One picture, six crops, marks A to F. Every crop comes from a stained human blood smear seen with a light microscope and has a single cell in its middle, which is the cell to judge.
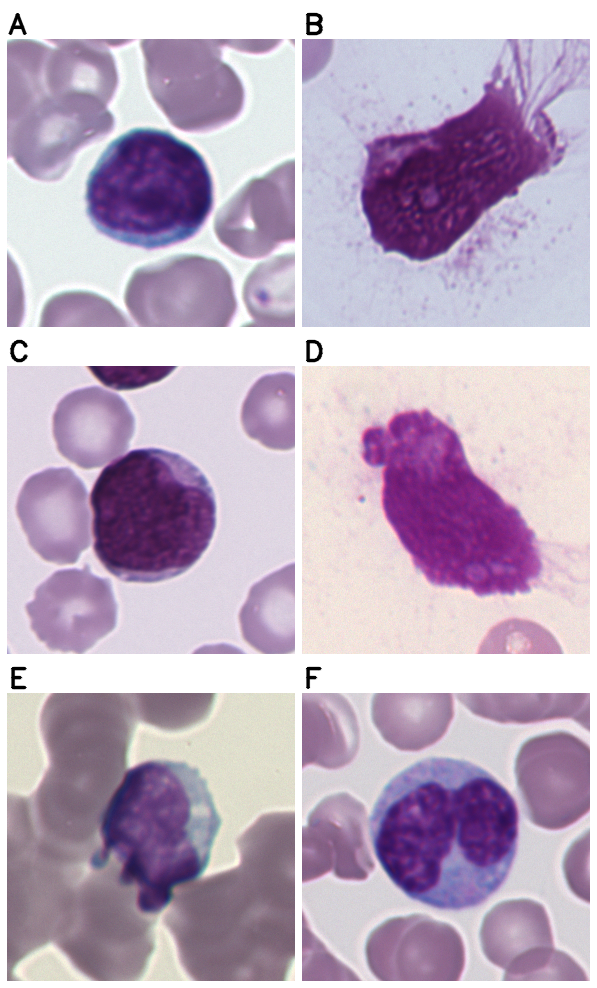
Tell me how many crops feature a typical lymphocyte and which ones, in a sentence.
The two crops in which typical lymphocytes are shown are A and E.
